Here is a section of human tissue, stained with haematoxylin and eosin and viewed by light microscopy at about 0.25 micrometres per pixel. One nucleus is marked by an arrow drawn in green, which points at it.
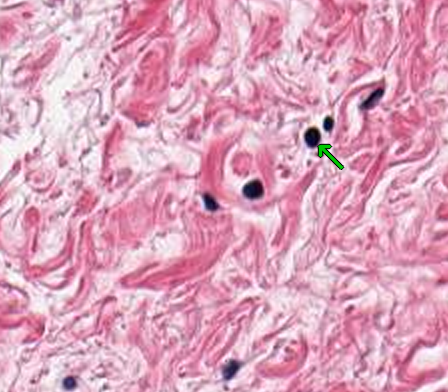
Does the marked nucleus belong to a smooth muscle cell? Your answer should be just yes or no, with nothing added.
no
